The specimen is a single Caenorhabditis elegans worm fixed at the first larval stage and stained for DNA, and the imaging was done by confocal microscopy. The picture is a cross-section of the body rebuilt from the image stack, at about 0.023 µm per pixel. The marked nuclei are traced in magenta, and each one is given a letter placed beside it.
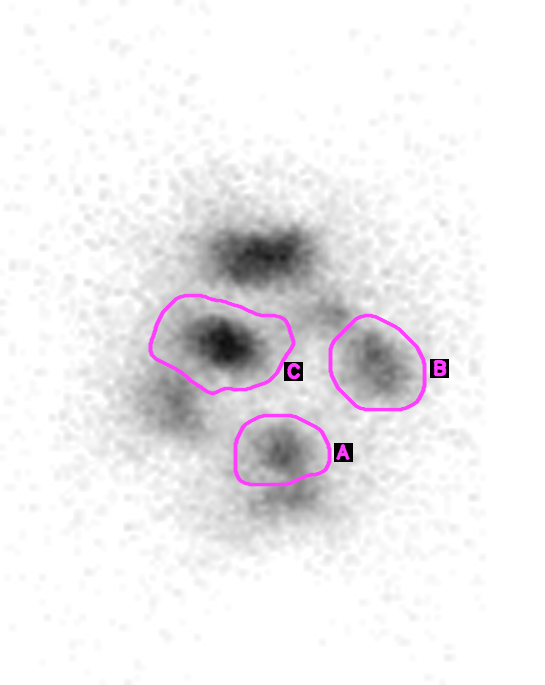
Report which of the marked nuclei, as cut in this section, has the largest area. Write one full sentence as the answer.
Nucleus C covers the most area here.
